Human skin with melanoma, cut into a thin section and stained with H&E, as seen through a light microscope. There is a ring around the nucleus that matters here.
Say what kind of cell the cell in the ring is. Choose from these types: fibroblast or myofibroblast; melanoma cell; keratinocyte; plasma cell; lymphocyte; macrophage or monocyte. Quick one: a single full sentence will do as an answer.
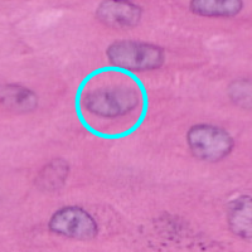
For cell typing purposes, the cell in the ring is a keratinocyte.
